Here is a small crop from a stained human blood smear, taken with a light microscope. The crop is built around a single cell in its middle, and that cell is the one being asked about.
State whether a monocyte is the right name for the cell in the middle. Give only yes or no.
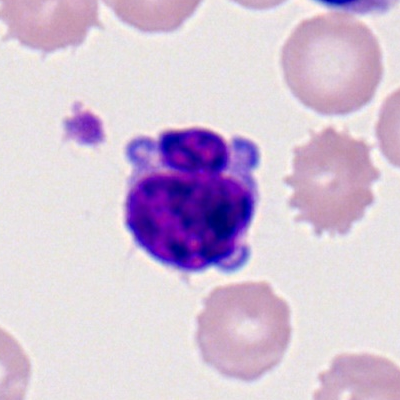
no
